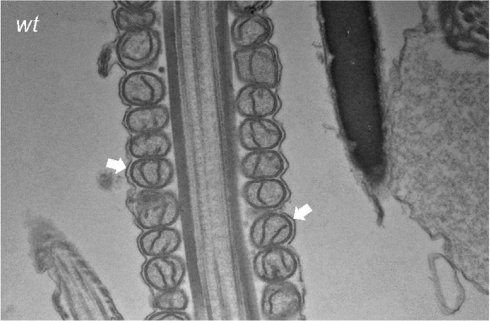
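Longitudinal section through the sperm midpiece, where a row of mitochondria lines each side of the central axoneme and its dense fibres. Each mitochondrion is an oval, double-membraned body packed end to end with its neighbours, and many show clear cristae running across the interior as dark lines.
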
